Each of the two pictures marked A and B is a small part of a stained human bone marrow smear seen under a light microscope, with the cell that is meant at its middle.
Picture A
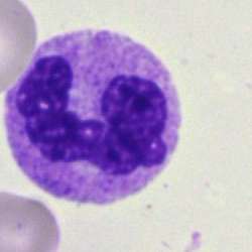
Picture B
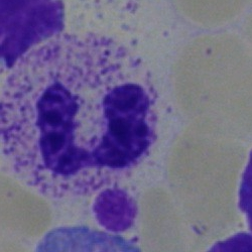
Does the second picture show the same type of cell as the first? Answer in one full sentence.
Yes, the two pictures both show segmented neutrophils.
